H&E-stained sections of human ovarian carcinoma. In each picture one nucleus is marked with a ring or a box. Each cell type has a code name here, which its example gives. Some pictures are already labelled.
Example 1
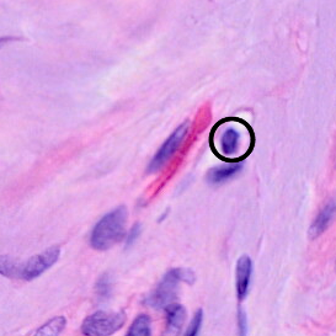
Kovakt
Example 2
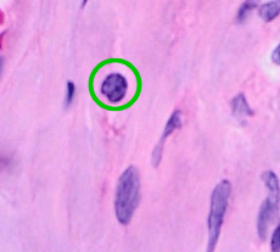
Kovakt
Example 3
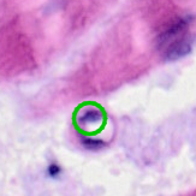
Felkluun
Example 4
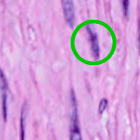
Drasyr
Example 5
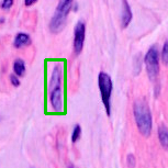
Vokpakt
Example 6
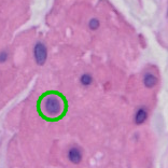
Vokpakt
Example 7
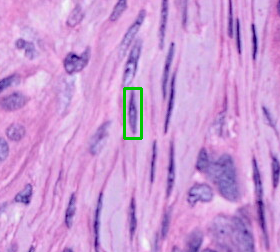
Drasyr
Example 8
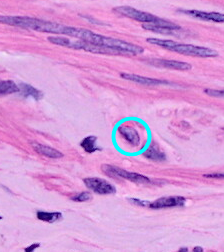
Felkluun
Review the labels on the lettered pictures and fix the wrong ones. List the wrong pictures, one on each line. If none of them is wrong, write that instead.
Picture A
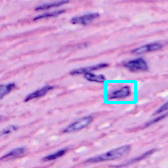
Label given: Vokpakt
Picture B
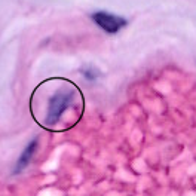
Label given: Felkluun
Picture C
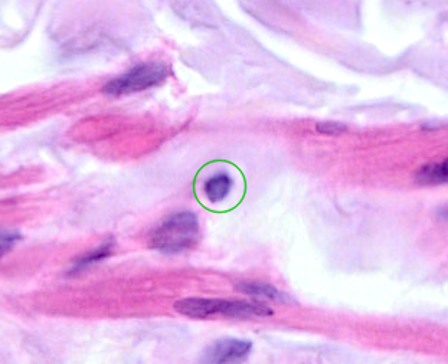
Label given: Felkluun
A: not Vokpakt but Drasyr
C: not Felkluun but Kovakt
